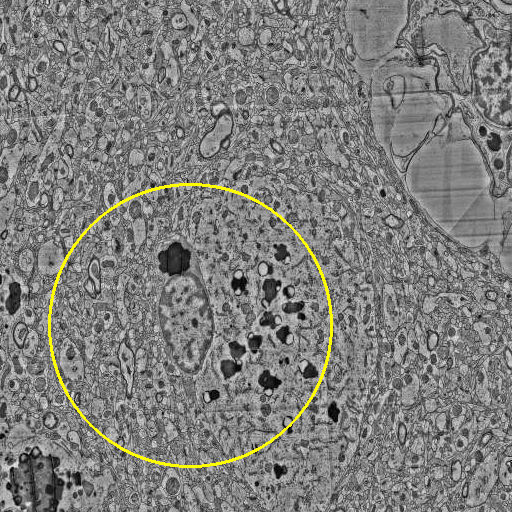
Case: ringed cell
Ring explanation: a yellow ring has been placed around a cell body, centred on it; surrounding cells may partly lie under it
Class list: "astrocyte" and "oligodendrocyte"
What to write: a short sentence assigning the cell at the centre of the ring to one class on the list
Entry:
The cell at the ring's centre is an oligodendrocyte.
